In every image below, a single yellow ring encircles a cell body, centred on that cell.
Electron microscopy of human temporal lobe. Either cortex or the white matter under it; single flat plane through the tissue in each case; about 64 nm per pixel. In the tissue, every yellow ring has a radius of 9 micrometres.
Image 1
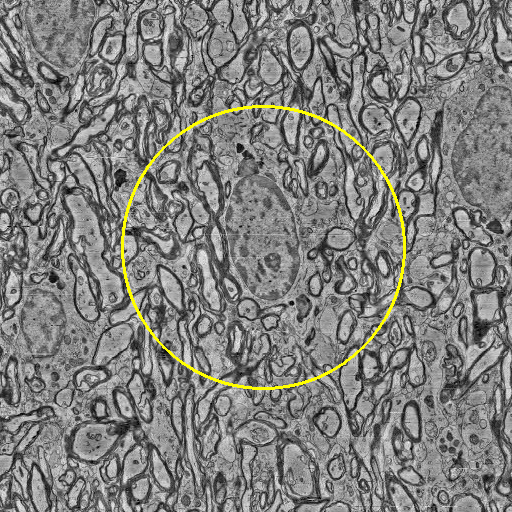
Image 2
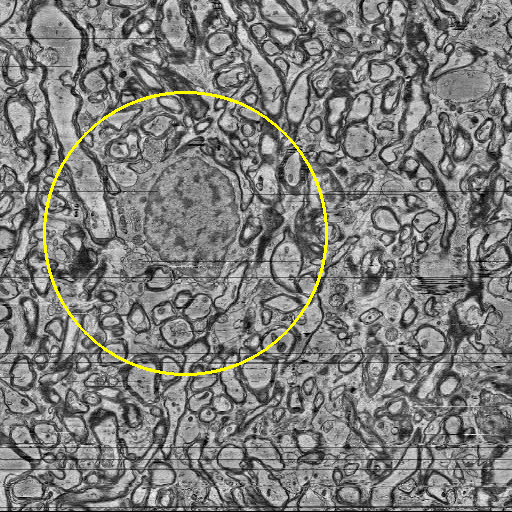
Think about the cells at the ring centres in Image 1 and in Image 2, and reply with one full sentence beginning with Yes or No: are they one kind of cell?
No, the cells centred in the rings of Image 1 and Image 2 are two kinds of cell.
